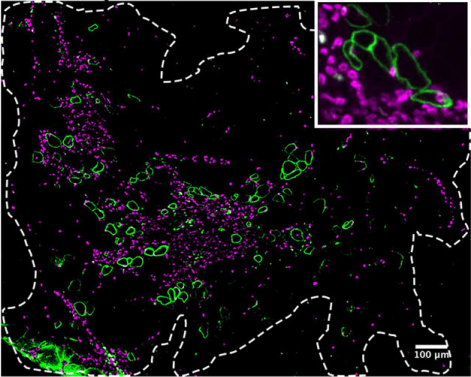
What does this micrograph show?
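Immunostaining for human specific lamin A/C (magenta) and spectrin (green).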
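A fluorescent cross section of skeletal muscle outlined by a white dashed line, showing many small magenta nuclei spread widely across the section together with green-ringed muscle fibers in cross section. The inset shows a few green-outlined fibers lying beside a dense field of magenta nuclei. A bright green patch lies at the lower left corner.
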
